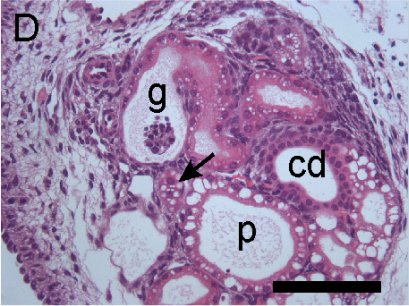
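This small piece of kidney tissue contains only a handful of scattered epithelial tubules and a glomerulus-like body set in loose cellular tissue with purple nuclei. Several tubules have wide open lumens lined by a single layer of epithelial cells with pink cytoplasm, and some lumens contain pale pink material. A smaller tubule sits between the larger ones, and the tubules are disorganized, lacking the layered cortex and medulla of a normal kidney.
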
